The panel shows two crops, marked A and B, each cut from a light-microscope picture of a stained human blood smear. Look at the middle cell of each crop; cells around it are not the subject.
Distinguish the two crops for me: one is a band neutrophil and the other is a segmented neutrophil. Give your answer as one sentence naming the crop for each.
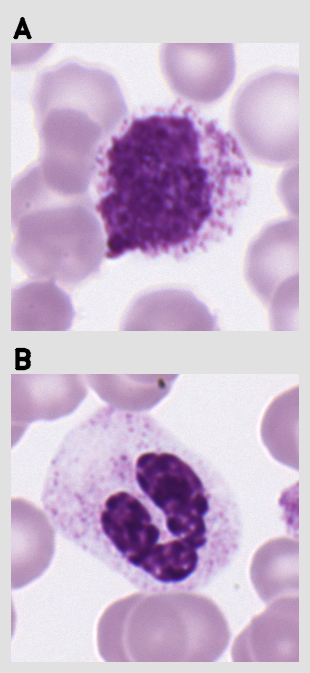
The designated cell in crop A is a band neutrophil, and the designated cell in crop B is a segmented neutrophil.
